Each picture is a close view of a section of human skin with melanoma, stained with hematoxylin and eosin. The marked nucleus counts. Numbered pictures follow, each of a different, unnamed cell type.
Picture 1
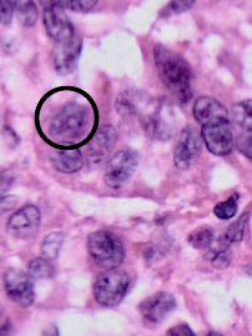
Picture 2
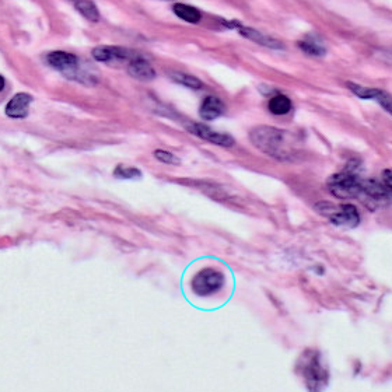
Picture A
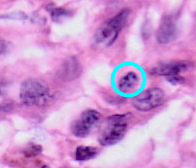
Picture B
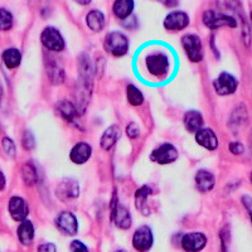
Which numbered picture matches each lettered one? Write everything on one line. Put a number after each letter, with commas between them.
A 2, B 2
